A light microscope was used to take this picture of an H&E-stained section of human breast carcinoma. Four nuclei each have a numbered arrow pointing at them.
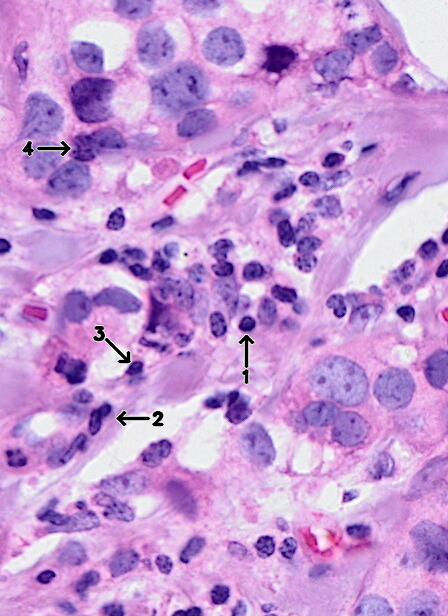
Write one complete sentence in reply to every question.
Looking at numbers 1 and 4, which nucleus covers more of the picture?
At about 2.5 times the area of nucleus 1, nucleus 4 is the larger of the two.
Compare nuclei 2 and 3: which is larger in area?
It is nucleus 2, which covers about 3 times the area of nucleus 3.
